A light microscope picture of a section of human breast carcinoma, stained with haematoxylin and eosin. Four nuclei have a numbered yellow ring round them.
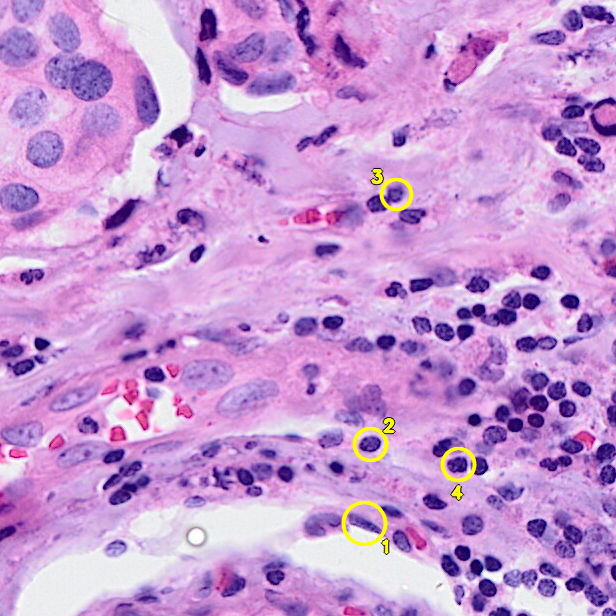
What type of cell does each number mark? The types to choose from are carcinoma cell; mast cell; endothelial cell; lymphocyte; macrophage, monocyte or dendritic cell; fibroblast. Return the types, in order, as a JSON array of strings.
["fibroblast", "lymphocyte", "lymphocyte", "lymphocyte"]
